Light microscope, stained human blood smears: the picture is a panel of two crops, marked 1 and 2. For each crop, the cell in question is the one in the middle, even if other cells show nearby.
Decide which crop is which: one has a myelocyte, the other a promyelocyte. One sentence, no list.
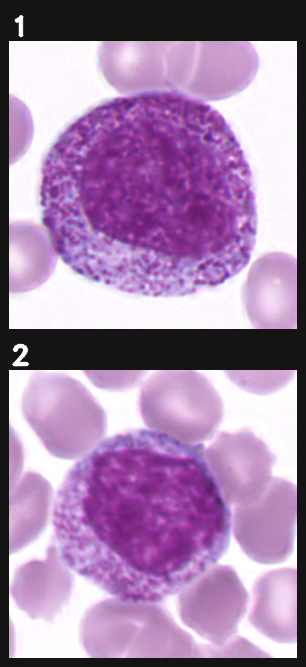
In this set, crop 1 is a promyelocyte and crop 2 is a myelocyte.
